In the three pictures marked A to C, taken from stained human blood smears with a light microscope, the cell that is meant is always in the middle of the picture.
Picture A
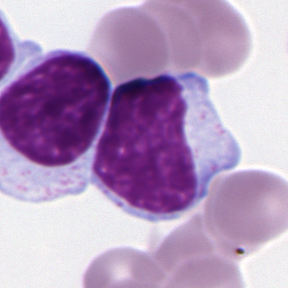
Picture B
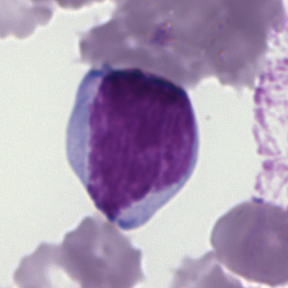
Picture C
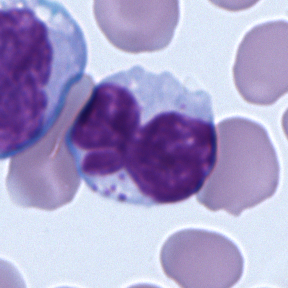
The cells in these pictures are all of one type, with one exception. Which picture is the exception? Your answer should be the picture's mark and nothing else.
B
